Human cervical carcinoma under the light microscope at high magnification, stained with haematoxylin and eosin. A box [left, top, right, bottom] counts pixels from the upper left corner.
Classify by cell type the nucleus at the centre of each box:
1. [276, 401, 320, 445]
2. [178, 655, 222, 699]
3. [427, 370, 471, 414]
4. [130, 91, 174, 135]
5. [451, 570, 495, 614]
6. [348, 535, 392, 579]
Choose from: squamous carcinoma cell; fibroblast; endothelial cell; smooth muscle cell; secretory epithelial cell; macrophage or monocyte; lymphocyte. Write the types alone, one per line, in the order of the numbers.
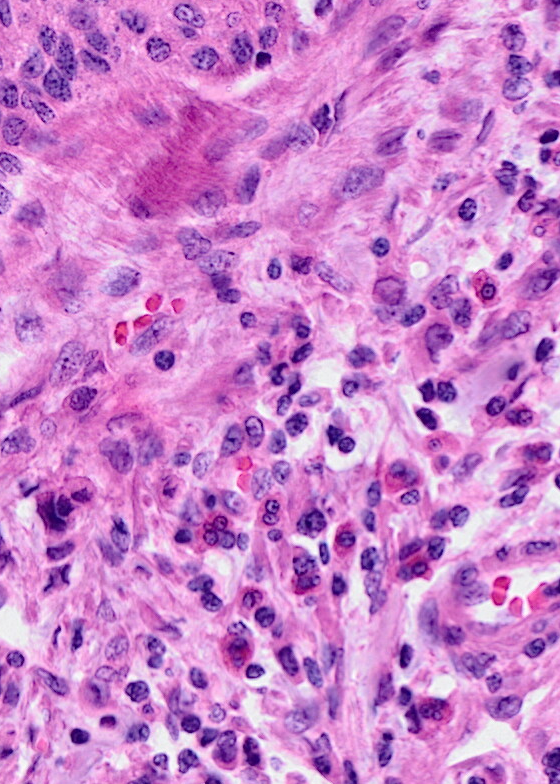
lymphocyte
lymphocyte
lymphocyte
fibroblast
endothelial cell
lymphocyte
